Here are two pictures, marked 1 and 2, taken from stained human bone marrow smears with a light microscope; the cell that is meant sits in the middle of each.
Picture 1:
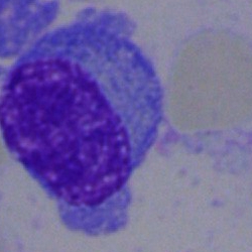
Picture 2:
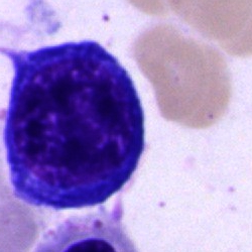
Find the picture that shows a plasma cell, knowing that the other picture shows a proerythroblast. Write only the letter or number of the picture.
1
